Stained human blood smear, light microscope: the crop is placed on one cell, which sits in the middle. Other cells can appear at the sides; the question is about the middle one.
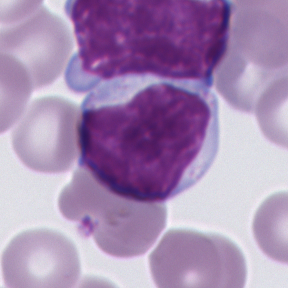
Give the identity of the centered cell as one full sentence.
The cell occupying the middle of the crop is a large granular lymphocyte.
